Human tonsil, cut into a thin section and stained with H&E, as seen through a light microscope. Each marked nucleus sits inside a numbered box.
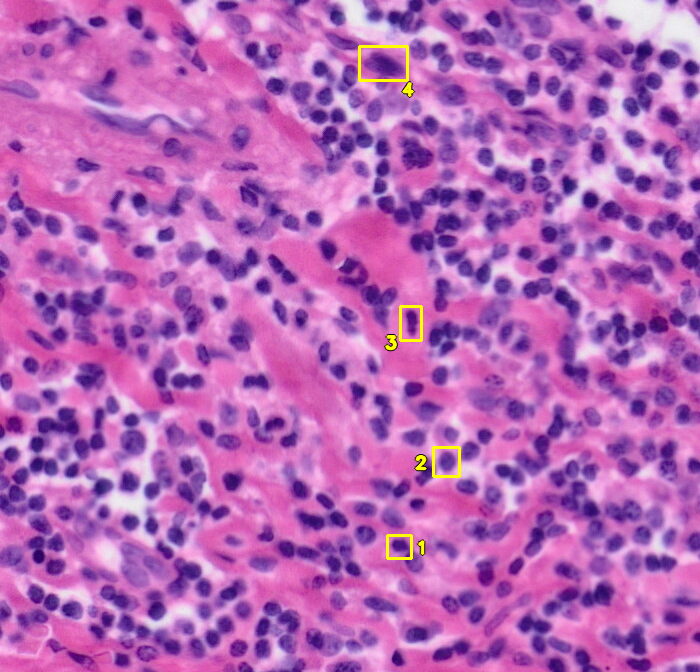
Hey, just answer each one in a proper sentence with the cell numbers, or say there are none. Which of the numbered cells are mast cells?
Classified as mast cells are the cells numbered 1, 2 and 3.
